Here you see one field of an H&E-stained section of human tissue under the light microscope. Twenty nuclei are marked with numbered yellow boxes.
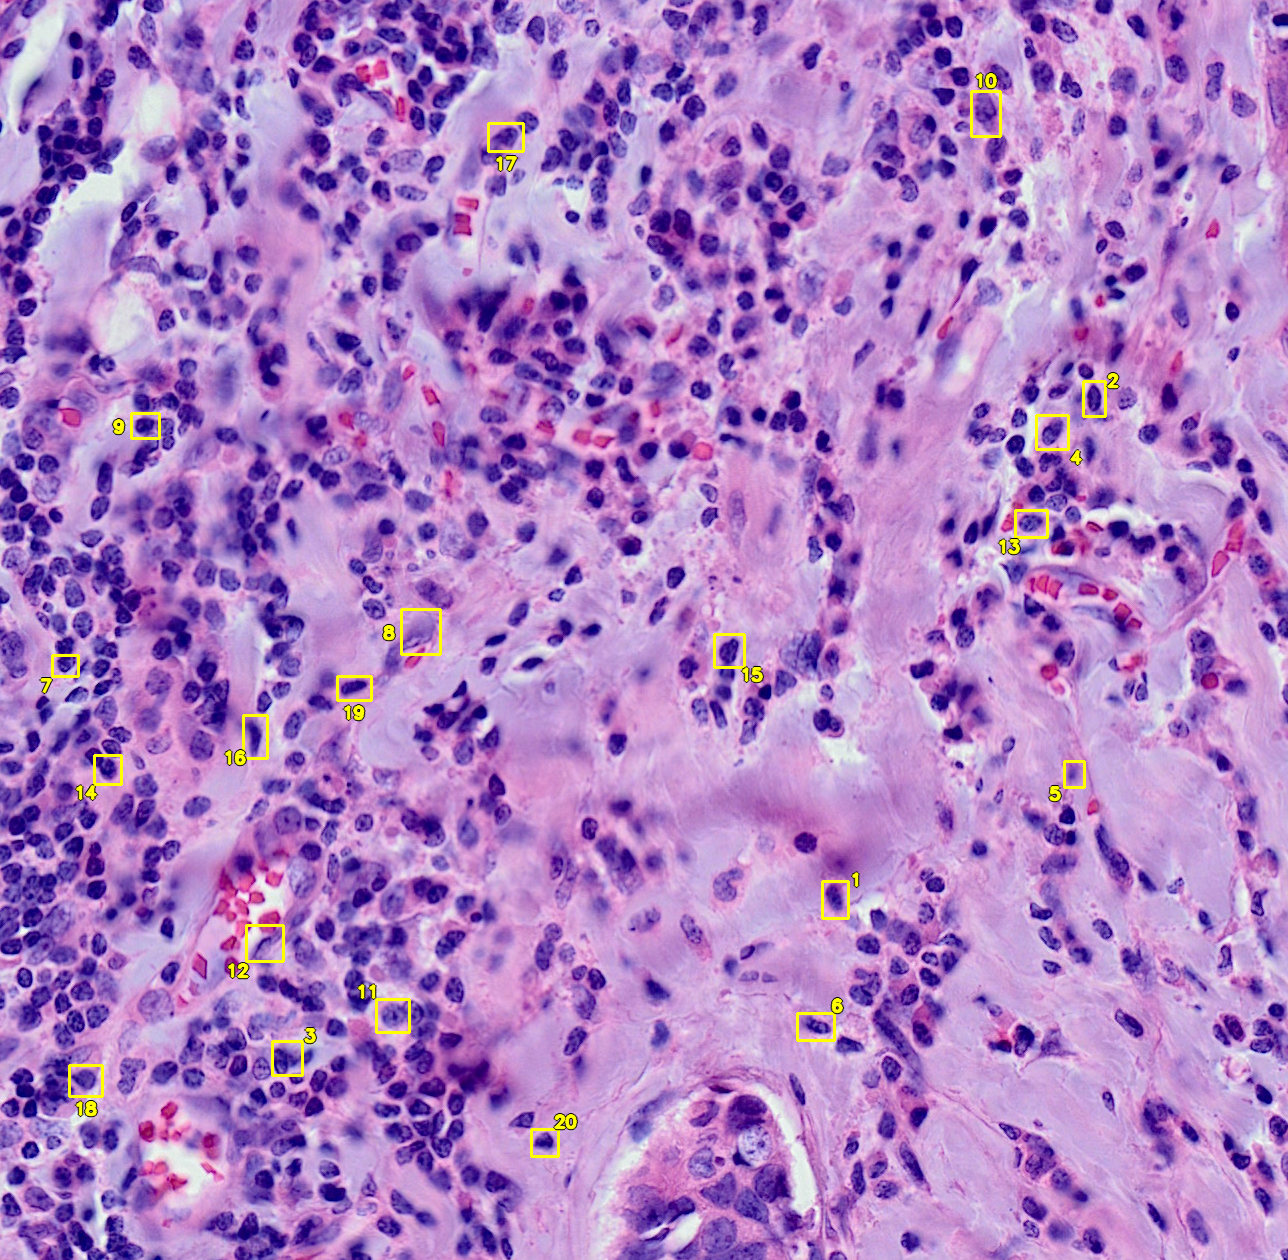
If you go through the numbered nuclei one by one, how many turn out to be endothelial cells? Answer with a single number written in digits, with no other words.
2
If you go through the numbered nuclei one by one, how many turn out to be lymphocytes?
11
